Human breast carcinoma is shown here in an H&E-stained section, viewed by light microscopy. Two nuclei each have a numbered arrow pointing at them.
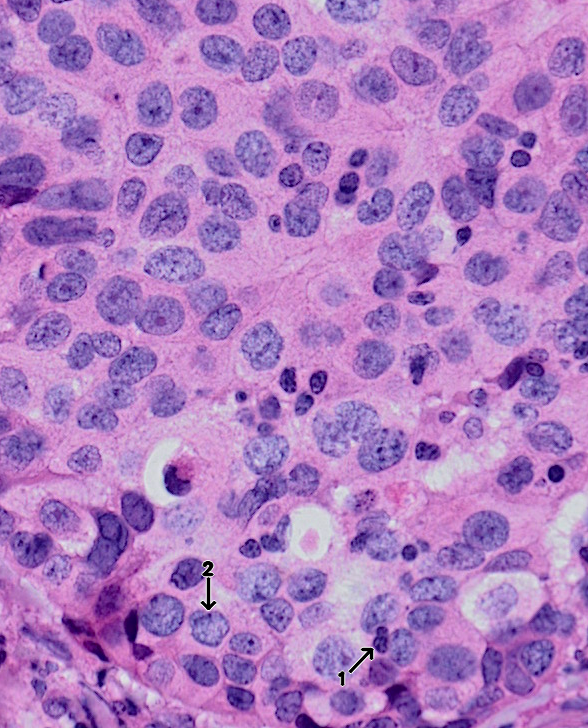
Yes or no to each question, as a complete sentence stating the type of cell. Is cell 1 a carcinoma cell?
No, number 1 identifies a lymphocyte, not a carcinoma cell.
